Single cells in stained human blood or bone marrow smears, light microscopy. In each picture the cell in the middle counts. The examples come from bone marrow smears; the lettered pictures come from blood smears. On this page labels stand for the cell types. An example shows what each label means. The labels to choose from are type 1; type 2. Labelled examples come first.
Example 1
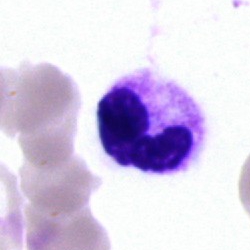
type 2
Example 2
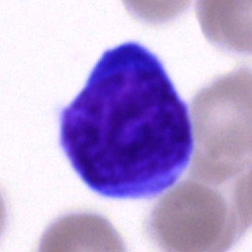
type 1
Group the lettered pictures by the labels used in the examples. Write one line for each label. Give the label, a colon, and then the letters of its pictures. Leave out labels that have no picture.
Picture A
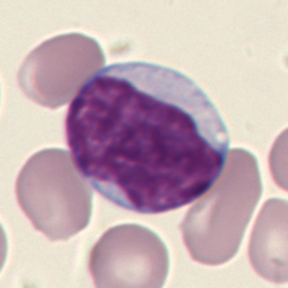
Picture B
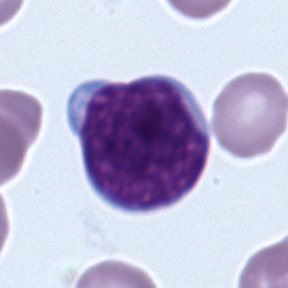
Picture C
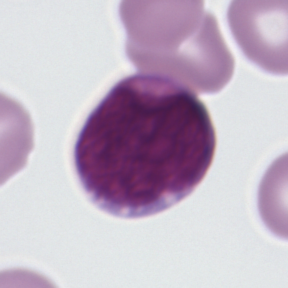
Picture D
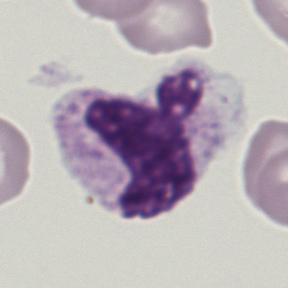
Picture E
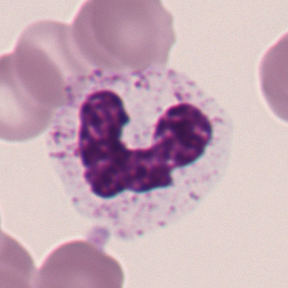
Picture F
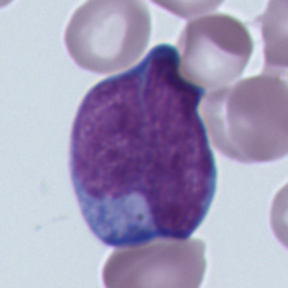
type 1: A, B, C, F
type 2: D, E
